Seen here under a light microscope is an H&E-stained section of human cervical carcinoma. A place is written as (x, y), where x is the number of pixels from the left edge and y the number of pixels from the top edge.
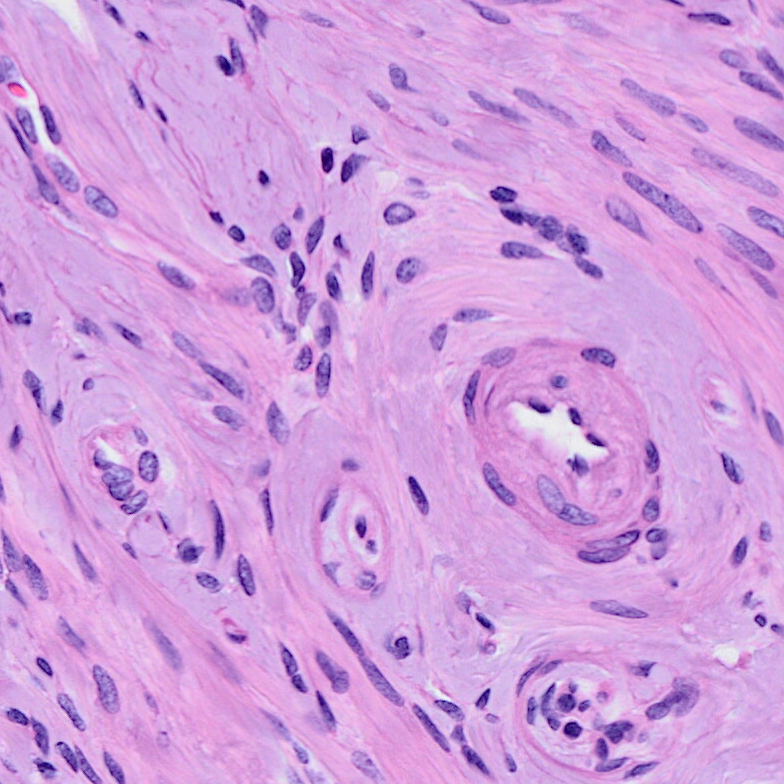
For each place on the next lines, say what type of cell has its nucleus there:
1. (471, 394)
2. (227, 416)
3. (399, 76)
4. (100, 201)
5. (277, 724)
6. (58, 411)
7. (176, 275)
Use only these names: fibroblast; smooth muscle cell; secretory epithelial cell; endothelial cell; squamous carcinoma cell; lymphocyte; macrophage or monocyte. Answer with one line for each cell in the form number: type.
1: smooth muscle cell
2: smooth muscle cell
3: fibroblast
4: endothelial cell
5: fibroblast
6: fibroblast
7: endothelial cell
